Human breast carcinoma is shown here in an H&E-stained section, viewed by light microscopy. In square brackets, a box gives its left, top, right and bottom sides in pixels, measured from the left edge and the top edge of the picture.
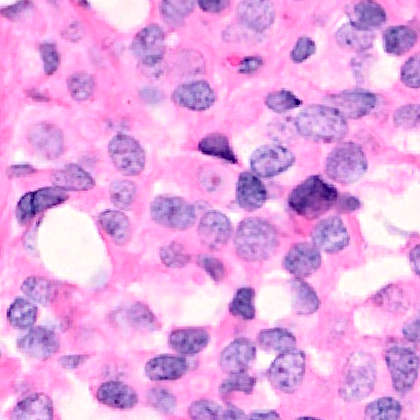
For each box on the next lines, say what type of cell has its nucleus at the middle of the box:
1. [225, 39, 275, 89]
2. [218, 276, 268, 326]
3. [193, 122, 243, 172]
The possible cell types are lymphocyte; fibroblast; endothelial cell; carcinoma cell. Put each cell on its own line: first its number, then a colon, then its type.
1: endothelial cell
2: carcinoma cell
3: carcinoma cell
